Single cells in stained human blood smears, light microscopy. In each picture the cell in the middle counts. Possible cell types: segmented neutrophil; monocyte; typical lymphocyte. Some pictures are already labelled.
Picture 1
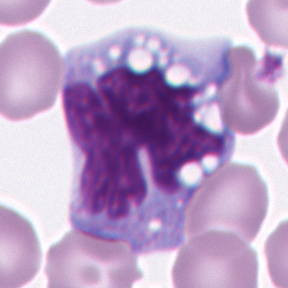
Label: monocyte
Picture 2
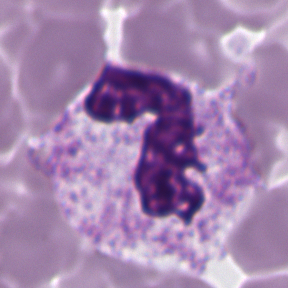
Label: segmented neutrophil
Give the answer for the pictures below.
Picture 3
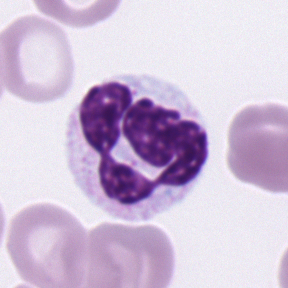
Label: segmented neutrophil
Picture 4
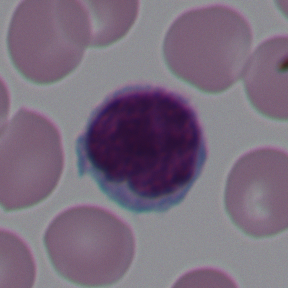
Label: typical lymphocyte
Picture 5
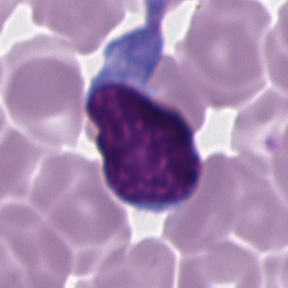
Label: typical lymphocyte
